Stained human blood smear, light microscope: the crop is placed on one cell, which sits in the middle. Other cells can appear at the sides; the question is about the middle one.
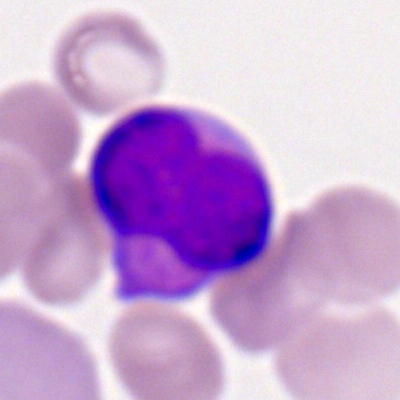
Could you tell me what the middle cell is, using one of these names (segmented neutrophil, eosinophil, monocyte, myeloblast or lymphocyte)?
myeloblast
